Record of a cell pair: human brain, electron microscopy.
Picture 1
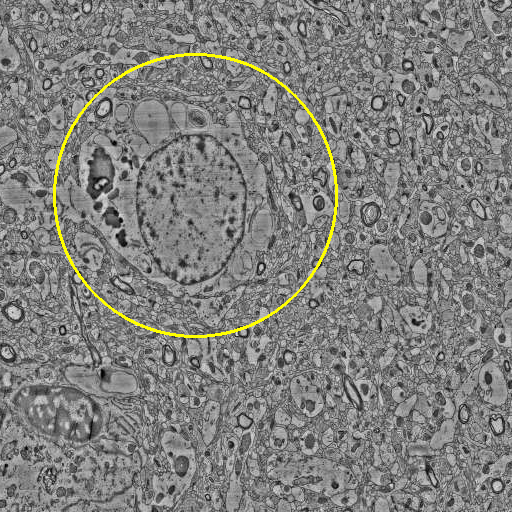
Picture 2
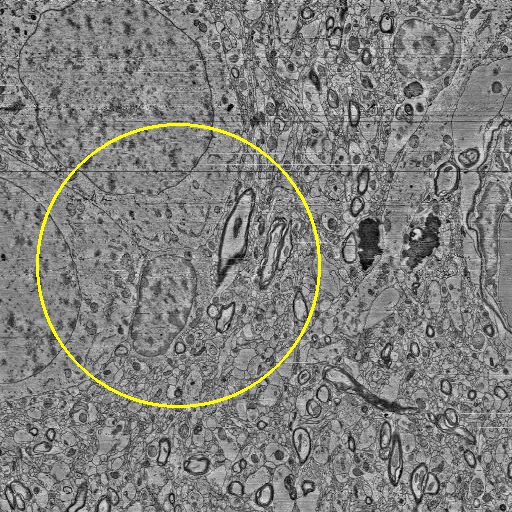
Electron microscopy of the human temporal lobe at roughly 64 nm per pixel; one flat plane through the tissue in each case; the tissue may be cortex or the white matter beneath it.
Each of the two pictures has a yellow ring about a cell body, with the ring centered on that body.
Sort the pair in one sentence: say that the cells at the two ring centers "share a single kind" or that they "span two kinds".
The cells centered in the rings of Pictures 1 and 2 span two kinds.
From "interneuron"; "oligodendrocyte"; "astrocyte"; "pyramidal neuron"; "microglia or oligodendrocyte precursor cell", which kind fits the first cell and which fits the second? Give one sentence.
The cell marked in the first picture is an astrocyte, and the one marked in the second is an oligodendrocyte.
